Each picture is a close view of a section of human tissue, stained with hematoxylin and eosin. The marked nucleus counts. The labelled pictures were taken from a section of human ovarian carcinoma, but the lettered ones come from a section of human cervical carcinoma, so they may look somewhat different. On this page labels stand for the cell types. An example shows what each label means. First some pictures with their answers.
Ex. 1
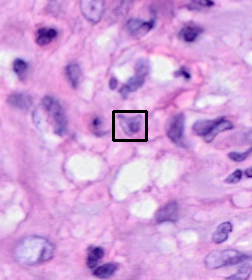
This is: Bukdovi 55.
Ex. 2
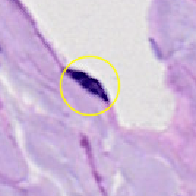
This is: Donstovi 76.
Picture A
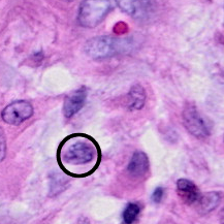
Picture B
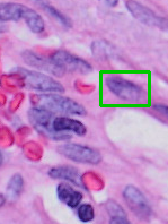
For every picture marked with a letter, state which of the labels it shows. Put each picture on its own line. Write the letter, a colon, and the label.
A: Bukdovi 55.
B: Donstovi 76.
